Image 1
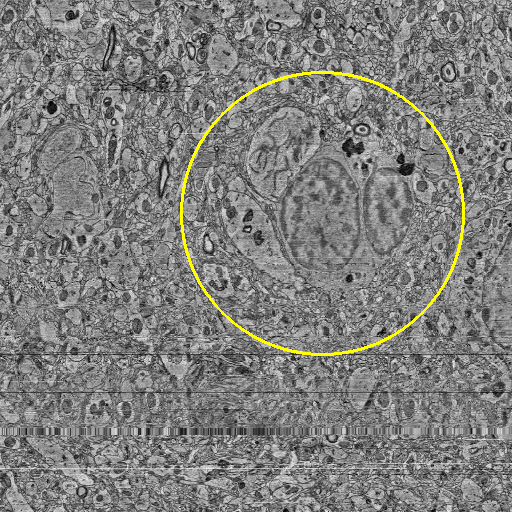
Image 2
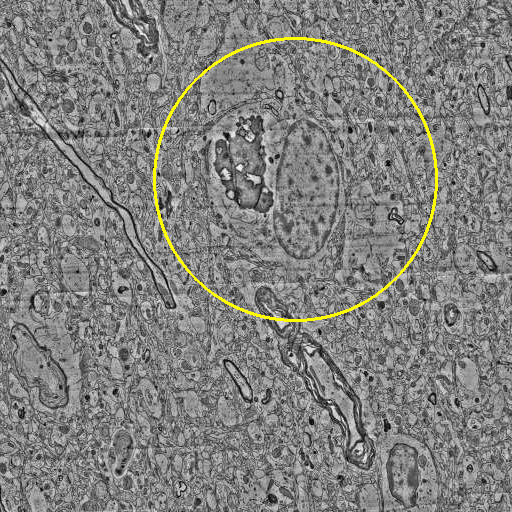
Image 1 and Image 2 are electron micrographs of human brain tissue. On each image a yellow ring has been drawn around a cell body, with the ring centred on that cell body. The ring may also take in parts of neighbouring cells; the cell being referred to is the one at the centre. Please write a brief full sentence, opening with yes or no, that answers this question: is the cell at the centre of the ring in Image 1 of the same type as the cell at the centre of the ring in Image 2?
No, the two cells are of two types.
